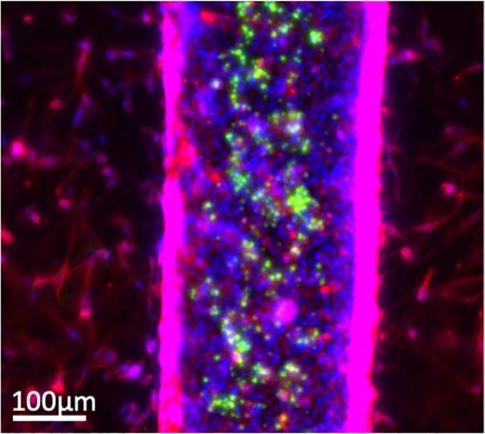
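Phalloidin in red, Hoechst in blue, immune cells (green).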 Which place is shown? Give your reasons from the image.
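A vertical channel runs down the middle of the image, bounded by two bright magenta straight walls. The channel is densely filled with blue and green dots, unlike the sparser matrix outside.
Answer: lumen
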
